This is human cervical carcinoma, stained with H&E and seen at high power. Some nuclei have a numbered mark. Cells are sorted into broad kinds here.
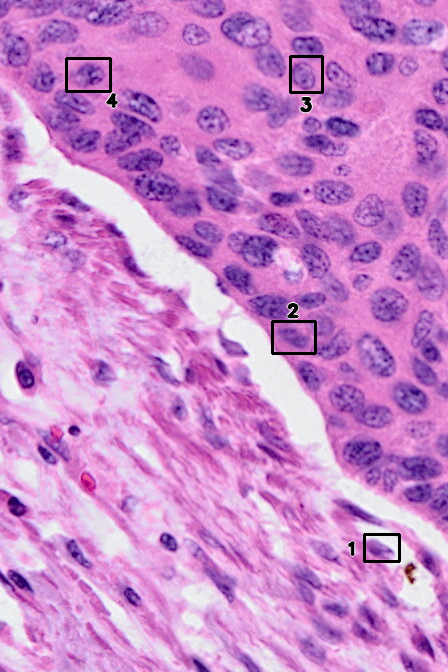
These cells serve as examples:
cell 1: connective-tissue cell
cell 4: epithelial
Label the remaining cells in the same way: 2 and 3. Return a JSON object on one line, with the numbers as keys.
{"2": "epithelial", "3": "epithelial"}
